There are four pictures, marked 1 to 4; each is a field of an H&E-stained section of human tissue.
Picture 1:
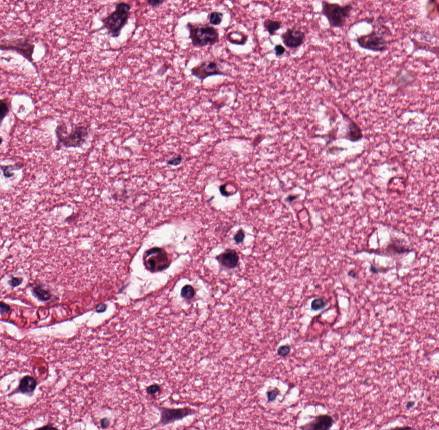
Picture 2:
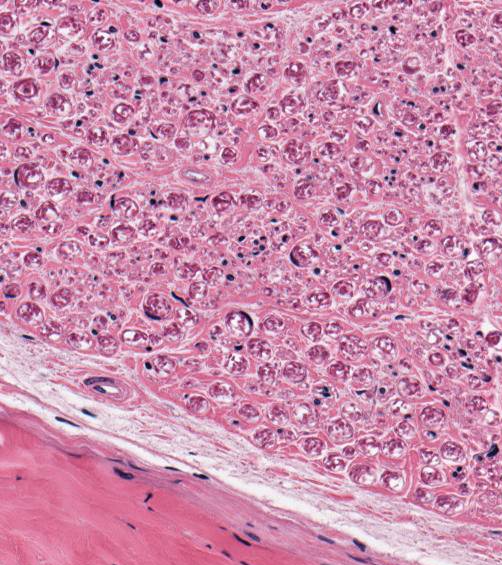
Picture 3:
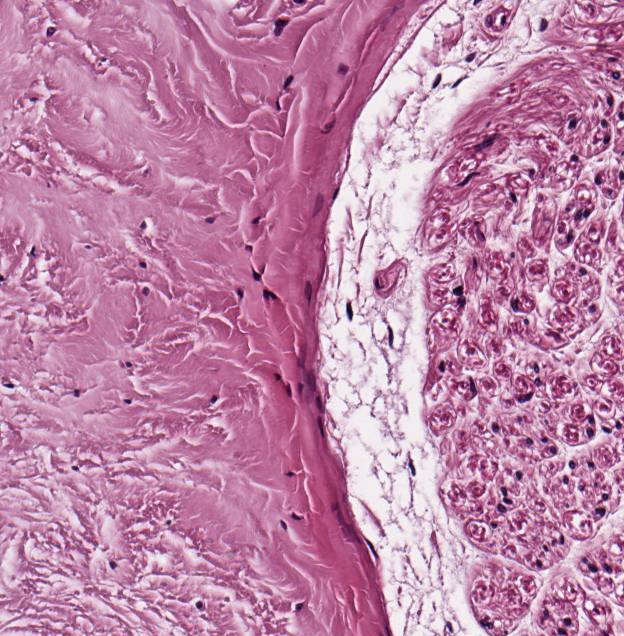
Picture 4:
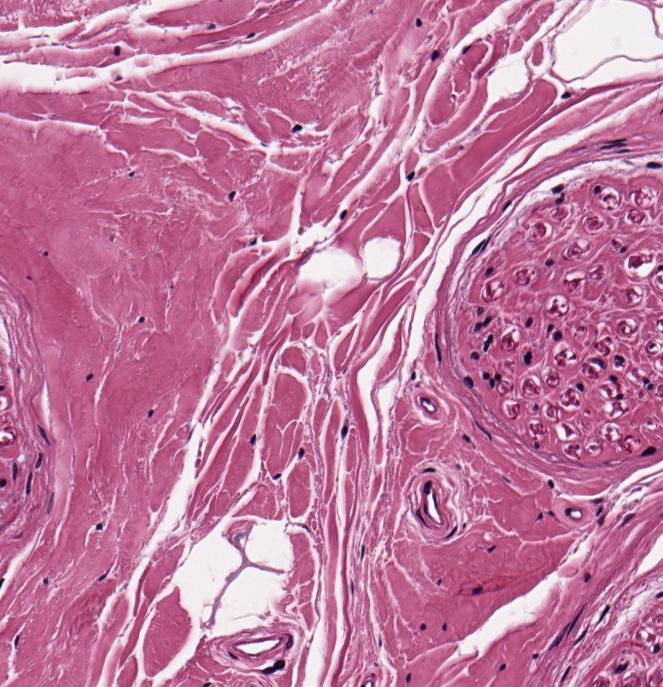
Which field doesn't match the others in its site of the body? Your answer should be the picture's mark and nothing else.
1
